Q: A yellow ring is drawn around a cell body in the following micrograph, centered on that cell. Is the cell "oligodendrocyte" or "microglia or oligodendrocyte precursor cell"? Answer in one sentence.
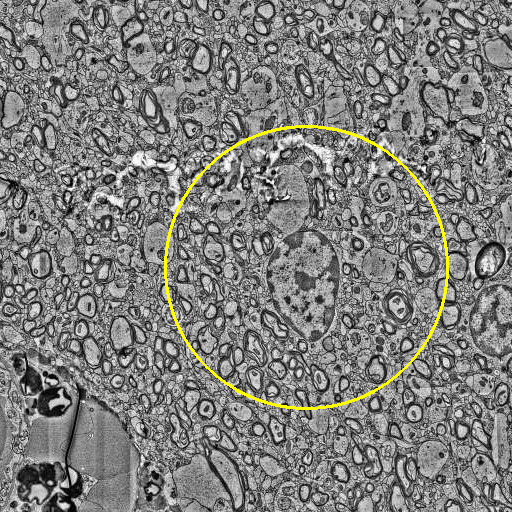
The cell in the center of the ring is a microglial cell or oligodendrocyte precursor cell.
